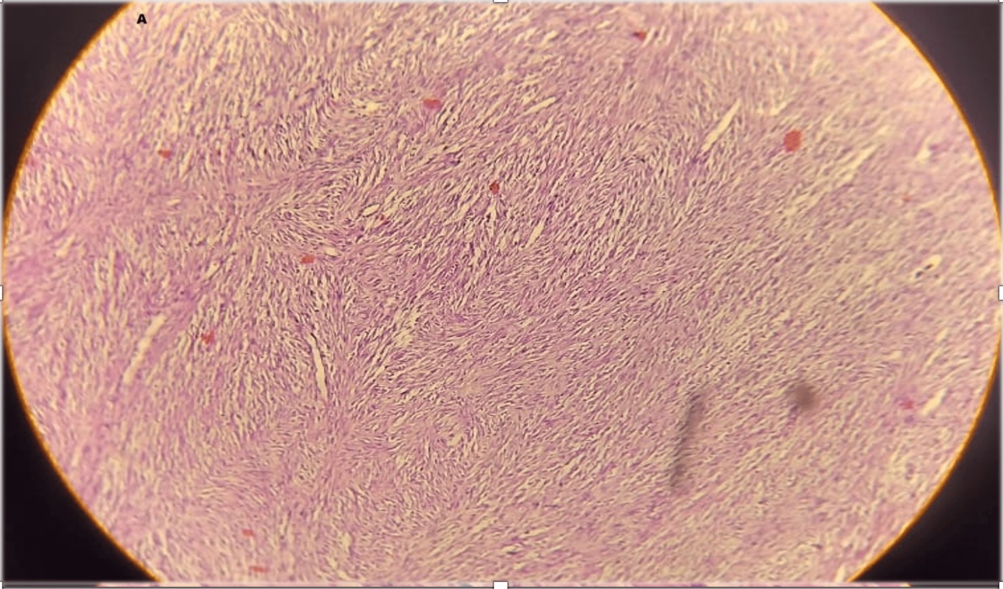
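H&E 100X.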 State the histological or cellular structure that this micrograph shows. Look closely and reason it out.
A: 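Spindle cells run in short bundles that change direction. In places the bundles swirl around a centre, giving a cartwheel-like or whorled look.
Conclusion: storiform, whorled, or short fascicular patterns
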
